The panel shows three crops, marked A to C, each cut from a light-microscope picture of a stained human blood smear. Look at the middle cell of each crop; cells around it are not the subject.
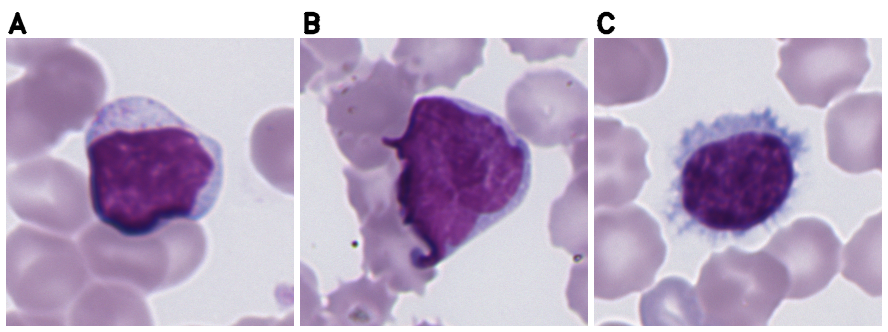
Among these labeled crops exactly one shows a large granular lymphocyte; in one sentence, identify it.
Of the cells presented, the one in crop A is a large granular lymphocyte.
